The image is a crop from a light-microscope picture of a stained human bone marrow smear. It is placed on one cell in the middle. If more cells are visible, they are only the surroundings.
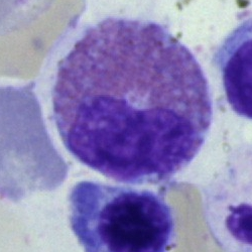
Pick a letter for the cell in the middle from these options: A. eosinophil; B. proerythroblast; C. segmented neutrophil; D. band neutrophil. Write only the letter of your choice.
A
